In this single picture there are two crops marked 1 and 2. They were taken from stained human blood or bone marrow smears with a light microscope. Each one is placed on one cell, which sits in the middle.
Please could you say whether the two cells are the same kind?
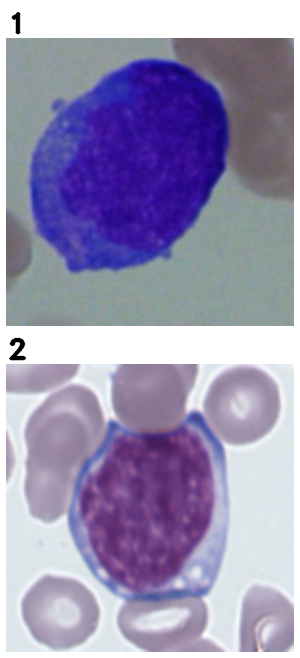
yes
